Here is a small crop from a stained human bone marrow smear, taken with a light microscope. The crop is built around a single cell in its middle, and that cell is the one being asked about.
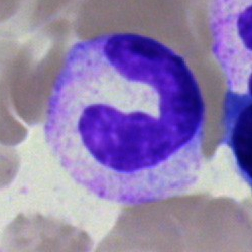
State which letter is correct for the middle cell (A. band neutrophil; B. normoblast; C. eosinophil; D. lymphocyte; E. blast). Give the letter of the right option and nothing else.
A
